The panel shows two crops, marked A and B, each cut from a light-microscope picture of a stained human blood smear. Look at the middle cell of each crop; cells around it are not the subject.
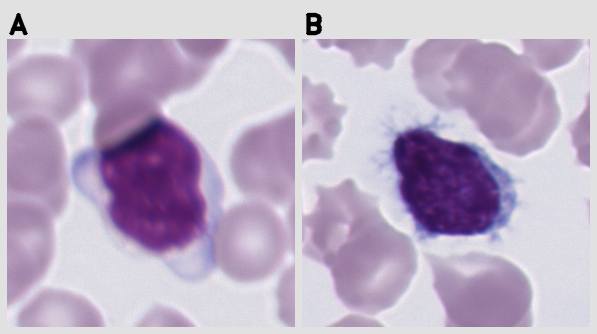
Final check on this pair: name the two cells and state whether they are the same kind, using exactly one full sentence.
No, it is crop A that shows a large granular lymphocyte, and crop B shows a hairy cell.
